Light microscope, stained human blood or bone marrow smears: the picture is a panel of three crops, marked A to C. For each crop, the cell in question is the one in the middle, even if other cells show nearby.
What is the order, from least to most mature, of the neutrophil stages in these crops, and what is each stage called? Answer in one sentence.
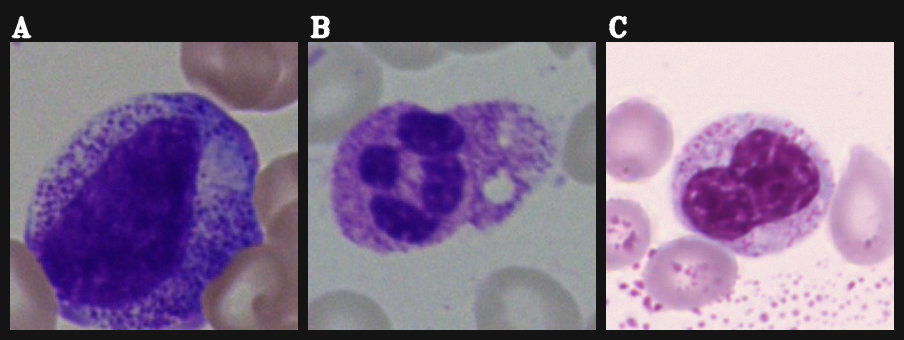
The order, going from least to most mature, is crop A (a myelocyte), crop C (a metamyelocyte) and crop B (a segmented neutrophil).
